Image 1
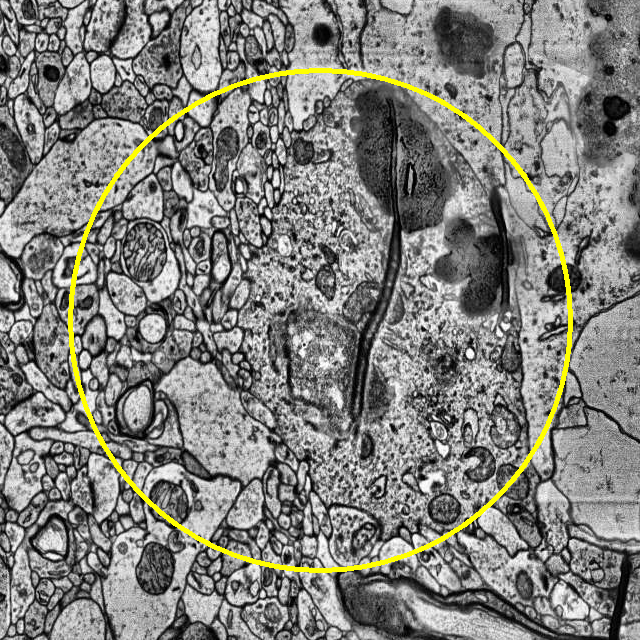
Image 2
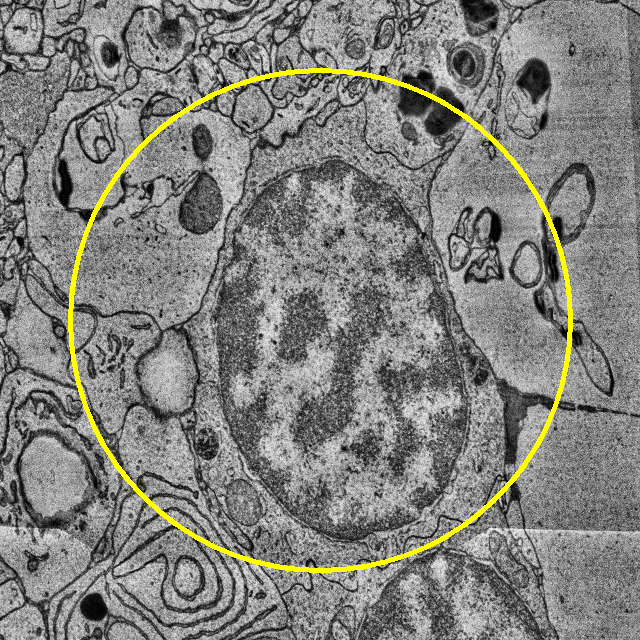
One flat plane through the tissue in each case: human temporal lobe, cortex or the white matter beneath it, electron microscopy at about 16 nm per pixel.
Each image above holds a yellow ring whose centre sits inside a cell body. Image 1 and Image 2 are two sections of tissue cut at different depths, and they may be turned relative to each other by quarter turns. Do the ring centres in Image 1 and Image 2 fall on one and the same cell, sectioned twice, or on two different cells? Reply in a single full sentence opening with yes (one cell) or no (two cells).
No, within the two rings lie two different cells.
